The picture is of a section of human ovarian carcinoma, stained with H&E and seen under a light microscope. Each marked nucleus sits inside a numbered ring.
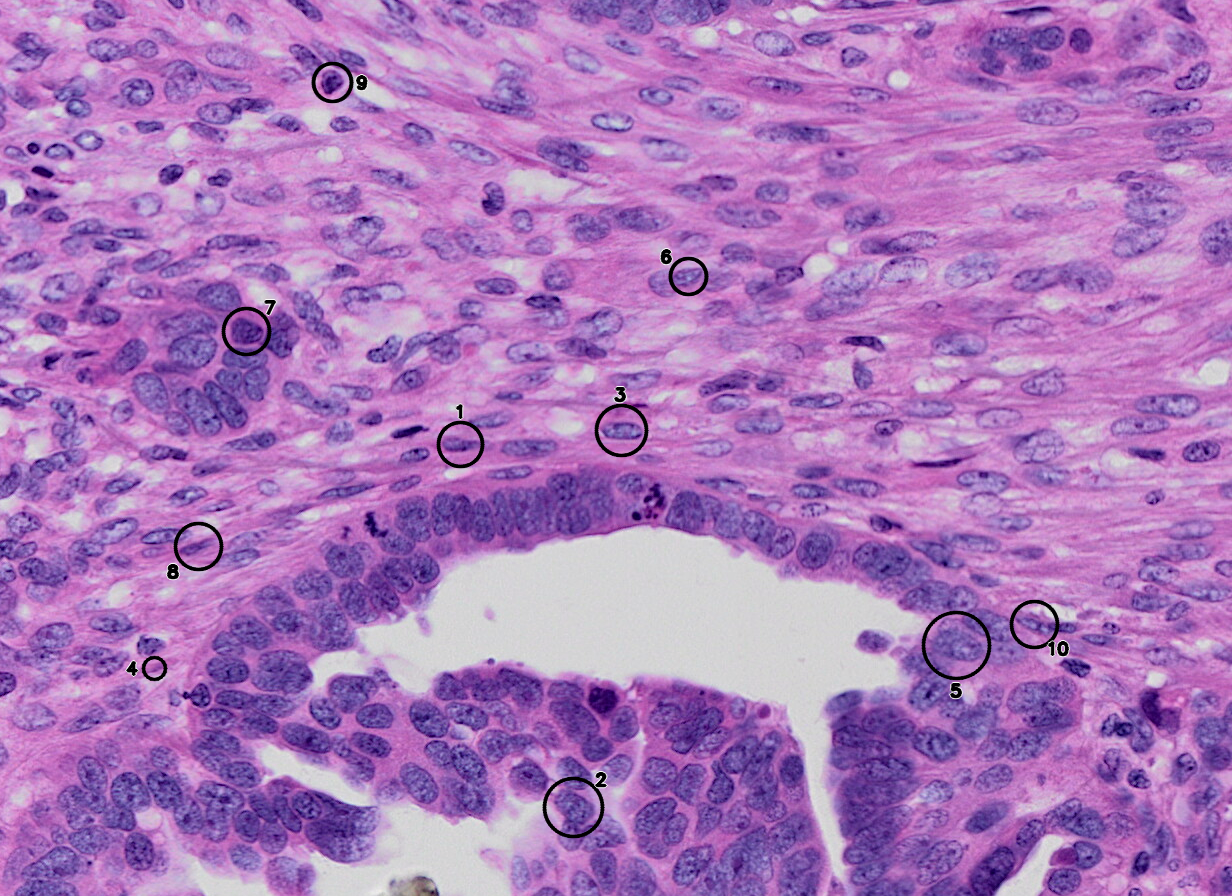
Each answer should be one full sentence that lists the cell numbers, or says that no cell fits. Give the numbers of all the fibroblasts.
The cells that bear the numbers 1, 3, 4, 6, 8 and 10 are fibroblasts.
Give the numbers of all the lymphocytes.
Only cell 9 is a lymphocyte; none of the other numbered cells is.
